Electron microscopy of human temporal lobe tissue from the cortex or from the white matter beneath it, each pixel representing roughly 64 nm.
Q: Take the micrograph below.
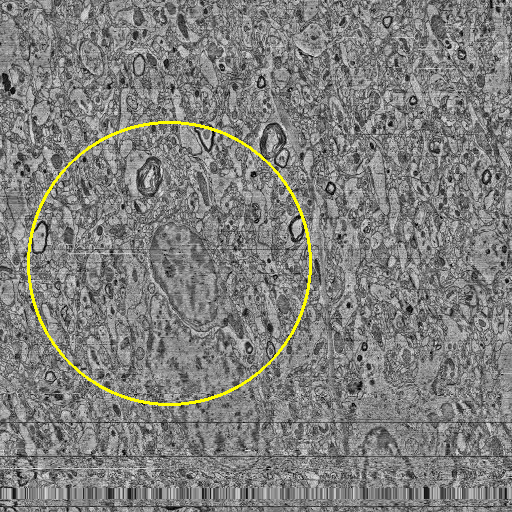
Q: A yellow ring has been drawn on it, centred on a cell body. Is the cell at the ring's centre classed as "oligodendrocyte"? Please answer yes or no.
Yes, that is its kind.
